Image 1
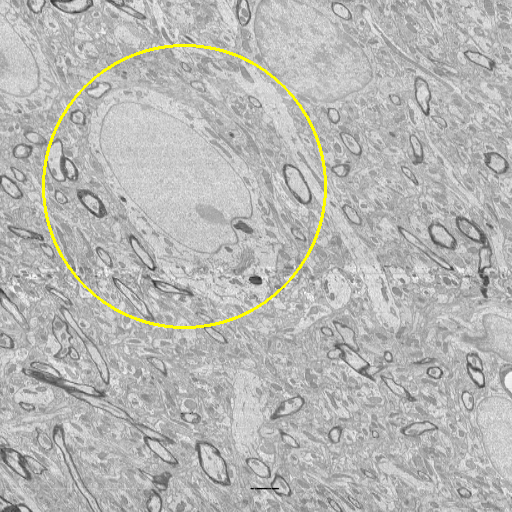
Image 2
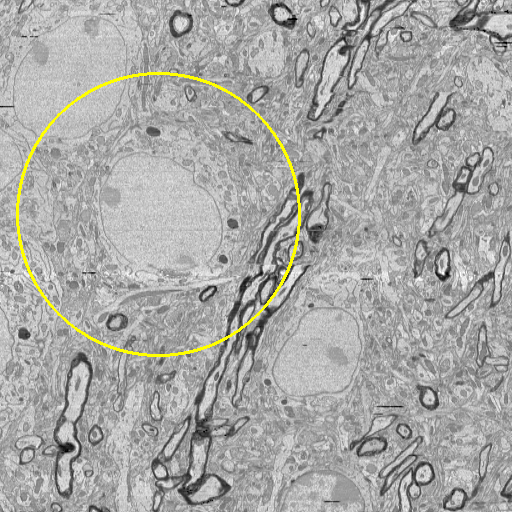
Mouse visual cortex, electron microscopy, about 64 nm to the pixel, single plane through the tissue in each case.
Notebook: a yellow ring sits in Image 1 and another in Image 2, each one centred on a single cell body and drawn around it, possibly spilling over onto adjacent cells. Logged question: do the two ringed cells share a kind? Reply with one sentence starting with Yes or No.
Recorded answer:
Yes, both centre cells inside the rings of Image 1 and Image 2 share one kind.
